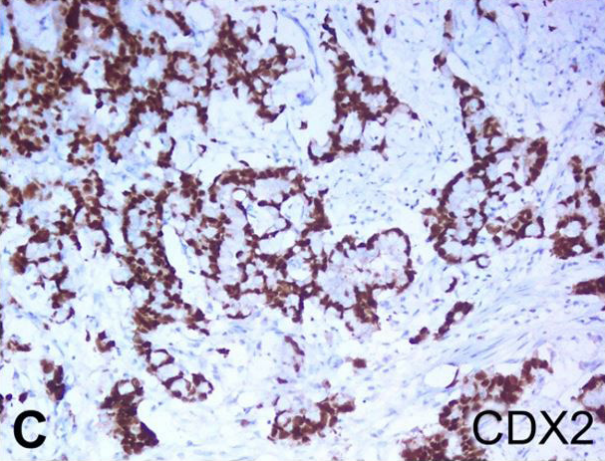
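This is a tumor made of gland-forming epithelial cells set in a loose, pale stroma. The tumor cells gather in irregular glands, rings and cords, some enclosing open lumens. Their nuclei are stained a strong brown; they are round to oval, crowded and fairly large, while the surrounding cytoplasm stays pale. Between the glands lies loose, bluish connective tissue with scattered thin, elongated unstained nuclei of stromal cells, and there are wide clear spaces within it. The contrast between brown-filled nuclei in the tumor glands and blue stromal nuclei makes the epithelial groups stand out sharply.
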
